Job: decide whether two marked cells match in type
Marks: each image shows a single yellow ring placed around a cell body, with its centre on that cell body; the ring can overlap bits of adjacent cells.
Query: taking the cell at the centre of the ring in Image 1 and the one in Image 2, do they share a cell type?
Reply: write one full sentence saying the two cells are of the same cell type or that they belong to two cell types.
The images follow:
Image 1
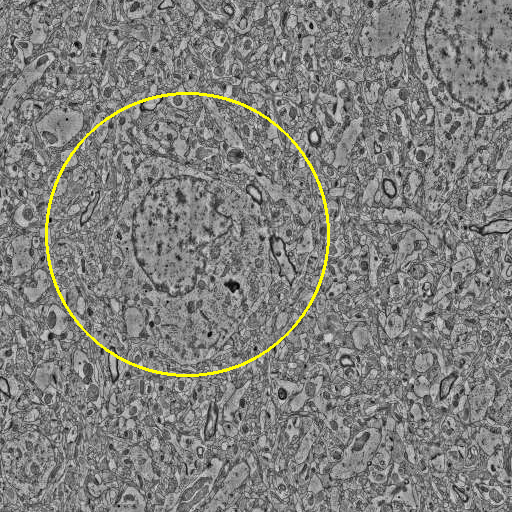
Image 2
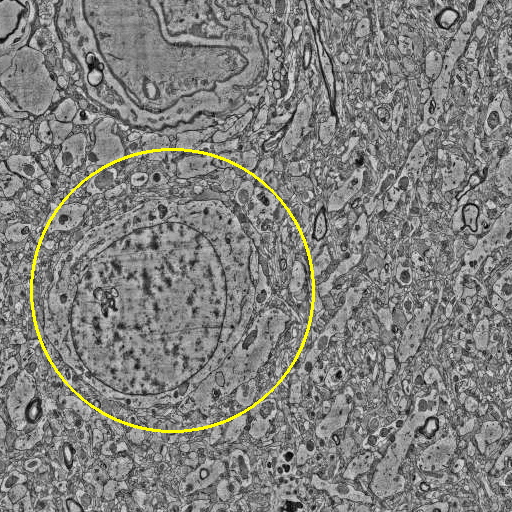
The cells at the ring centres in Image 1 and Image 2 are of the same cell type.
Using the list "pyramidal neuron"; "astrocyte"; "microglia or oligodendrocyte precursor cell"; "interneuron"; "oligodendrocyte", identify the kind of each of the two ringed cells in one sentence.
The first and the second cell are each a pyramidal neuron.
